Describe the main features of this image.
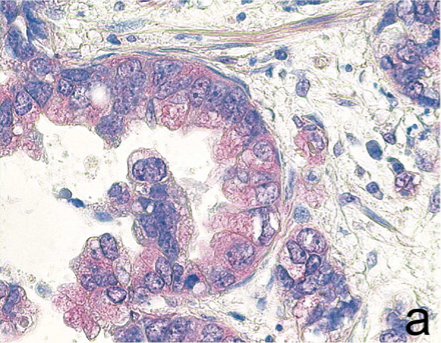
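Gland-forming carcinoma cells are arranged in a ring around an irregular lumen, with a cluster of tumor cells projecting into it. The cells have large, crowded, blue-stained nuclei with coarse chromatin, and their cytoplasm is stained pink-red. Small separate nests of similar cells lie in the pale, loose stroma around the gland, which contains scattered spindle-shaped nuclei.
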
